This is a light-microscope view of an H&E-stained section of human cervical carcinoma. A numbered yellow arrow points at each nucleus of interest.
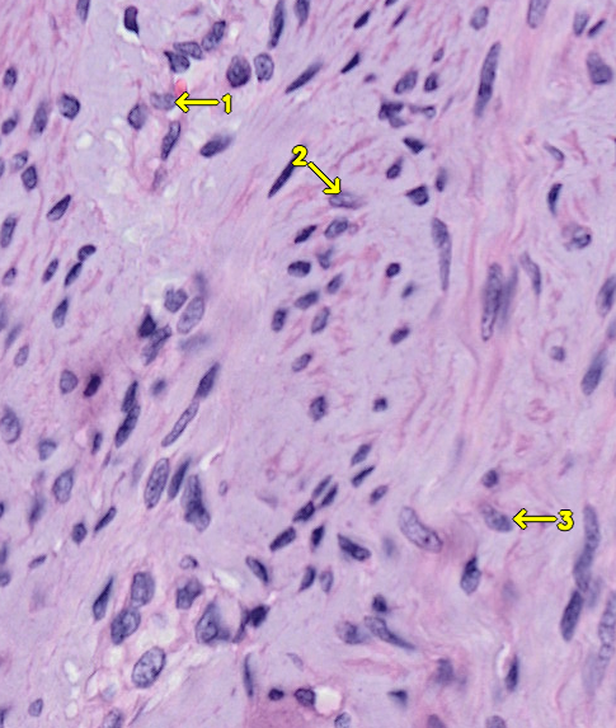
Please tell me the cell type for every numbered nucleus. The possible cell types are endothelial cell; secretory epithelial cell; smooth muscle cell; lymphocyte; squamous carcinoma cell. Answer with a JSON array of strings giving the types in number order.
["endothelial cell", "smooth muscle cell", "smooth muscle cell"]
